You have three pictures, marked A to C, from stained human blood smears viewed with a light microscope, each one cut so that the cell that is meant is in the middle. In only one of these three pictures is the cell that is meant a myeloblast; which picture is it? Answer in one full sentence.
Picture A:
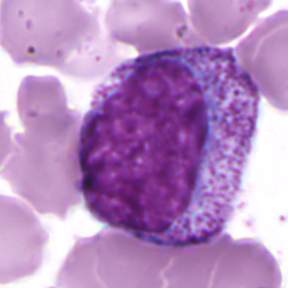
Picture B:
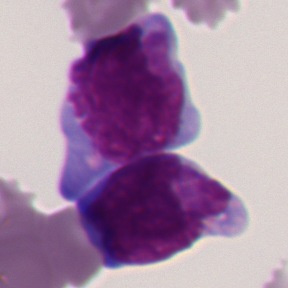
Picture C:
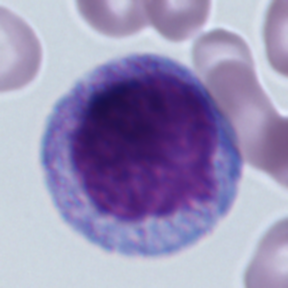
It is picture B that shows the myeloblast.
